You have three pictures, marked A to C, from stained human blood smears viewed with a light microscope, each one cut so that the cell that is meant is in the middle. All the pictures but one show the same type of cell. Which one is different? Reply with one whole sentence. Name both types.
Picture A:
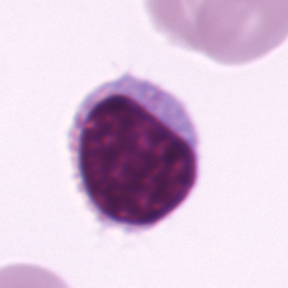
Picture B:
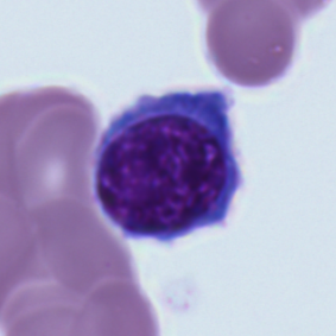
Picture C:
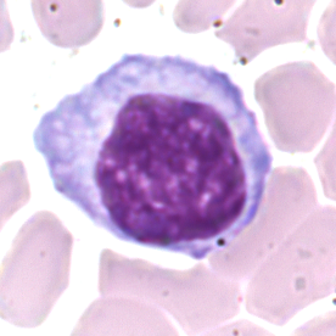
Unlike the rest, which show plasma cells, picture A shows a large granular lymphocyte.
